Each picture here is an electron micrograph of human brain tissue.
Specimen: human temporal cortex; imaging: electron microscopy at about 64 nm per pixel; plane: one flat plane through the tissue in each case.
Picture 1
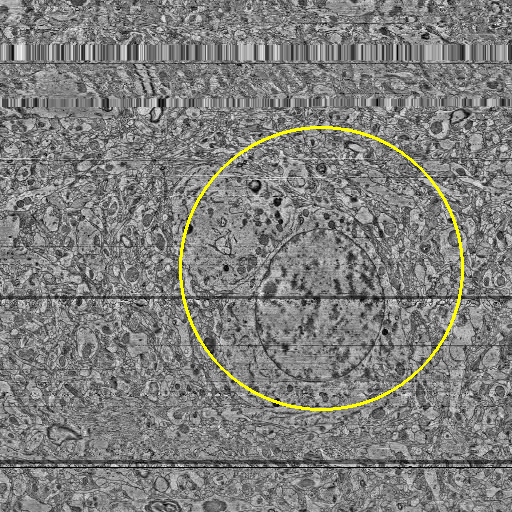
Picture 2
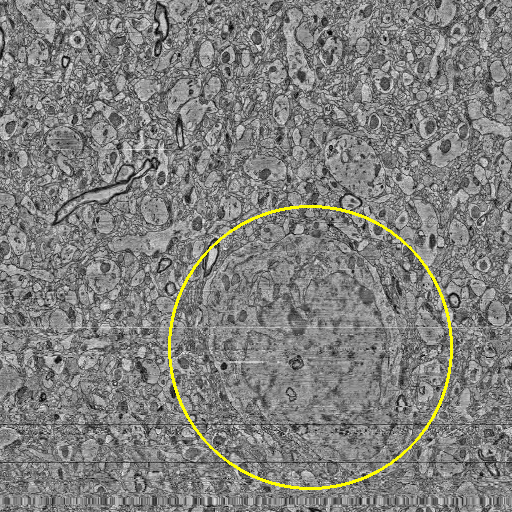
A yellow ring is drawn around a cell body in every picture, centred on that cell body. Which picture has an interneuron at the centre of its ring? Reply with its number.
2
